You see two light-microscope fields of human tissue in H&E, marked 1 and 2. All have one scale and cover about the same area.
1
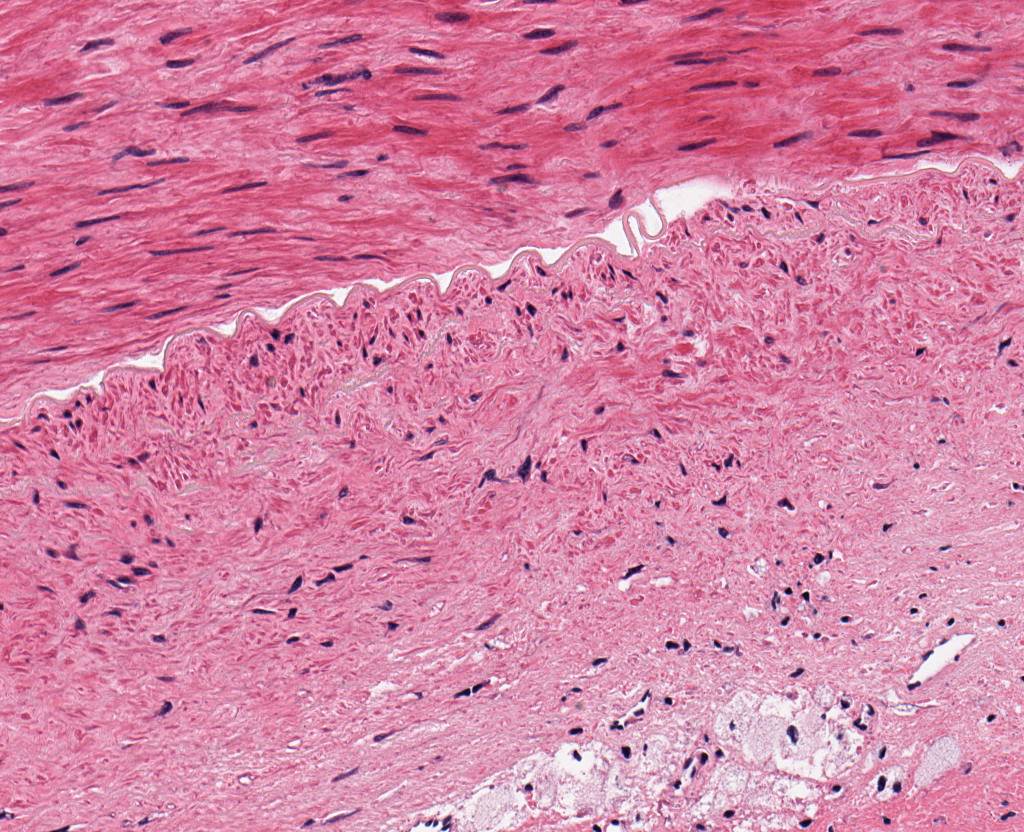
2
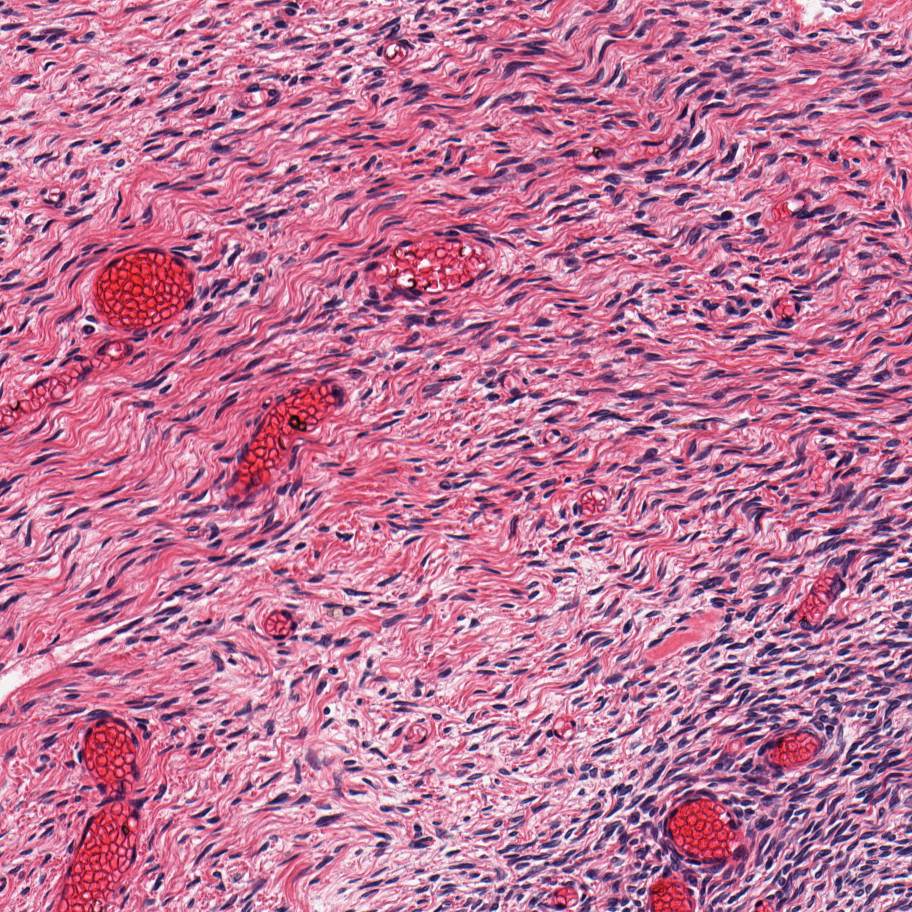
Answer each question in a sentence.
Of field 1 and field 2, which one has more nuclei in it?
More nuclei lie in field 2 than in field 1.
